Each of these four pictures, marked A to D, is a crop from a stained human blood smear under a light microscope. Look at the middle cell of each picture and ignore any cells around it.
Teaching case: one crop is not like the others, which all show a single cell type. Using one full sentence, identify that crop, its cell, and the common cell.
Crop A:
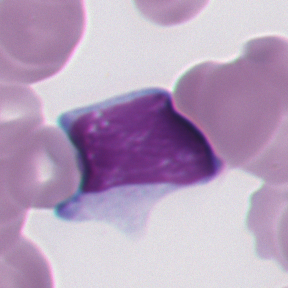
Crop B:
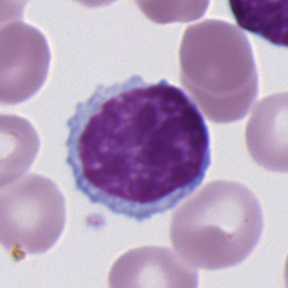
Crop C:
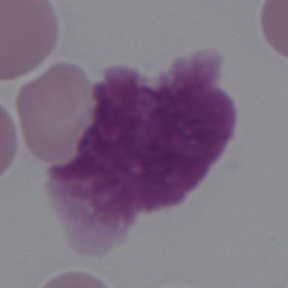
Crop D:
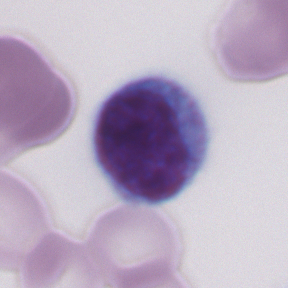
Crop C is the only crop with a smudge cell, the others all showing typical lymphocytes.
